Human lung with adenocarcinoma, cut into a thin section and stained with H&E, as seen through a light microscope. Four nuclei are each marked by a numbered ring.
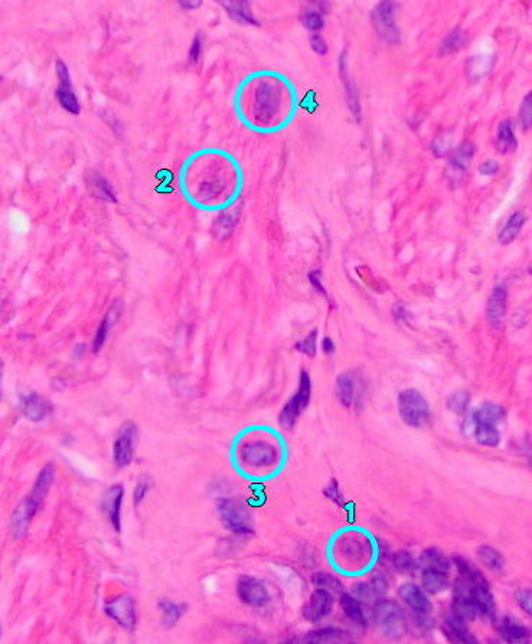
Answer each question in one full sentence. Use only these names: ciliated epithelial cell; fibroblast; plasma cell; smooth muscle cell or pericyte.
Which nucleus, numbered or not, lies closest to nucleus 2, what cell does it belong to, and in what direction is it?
The nearest one is a smooth muscle cell or pericyte, found below and to the right of nucleus 2.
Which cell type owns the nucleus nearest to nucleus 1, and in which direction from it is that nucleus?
Just to the right of nucleus 1 lies the nearest nucleus, which belongs to a ciliated epithelial cell.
